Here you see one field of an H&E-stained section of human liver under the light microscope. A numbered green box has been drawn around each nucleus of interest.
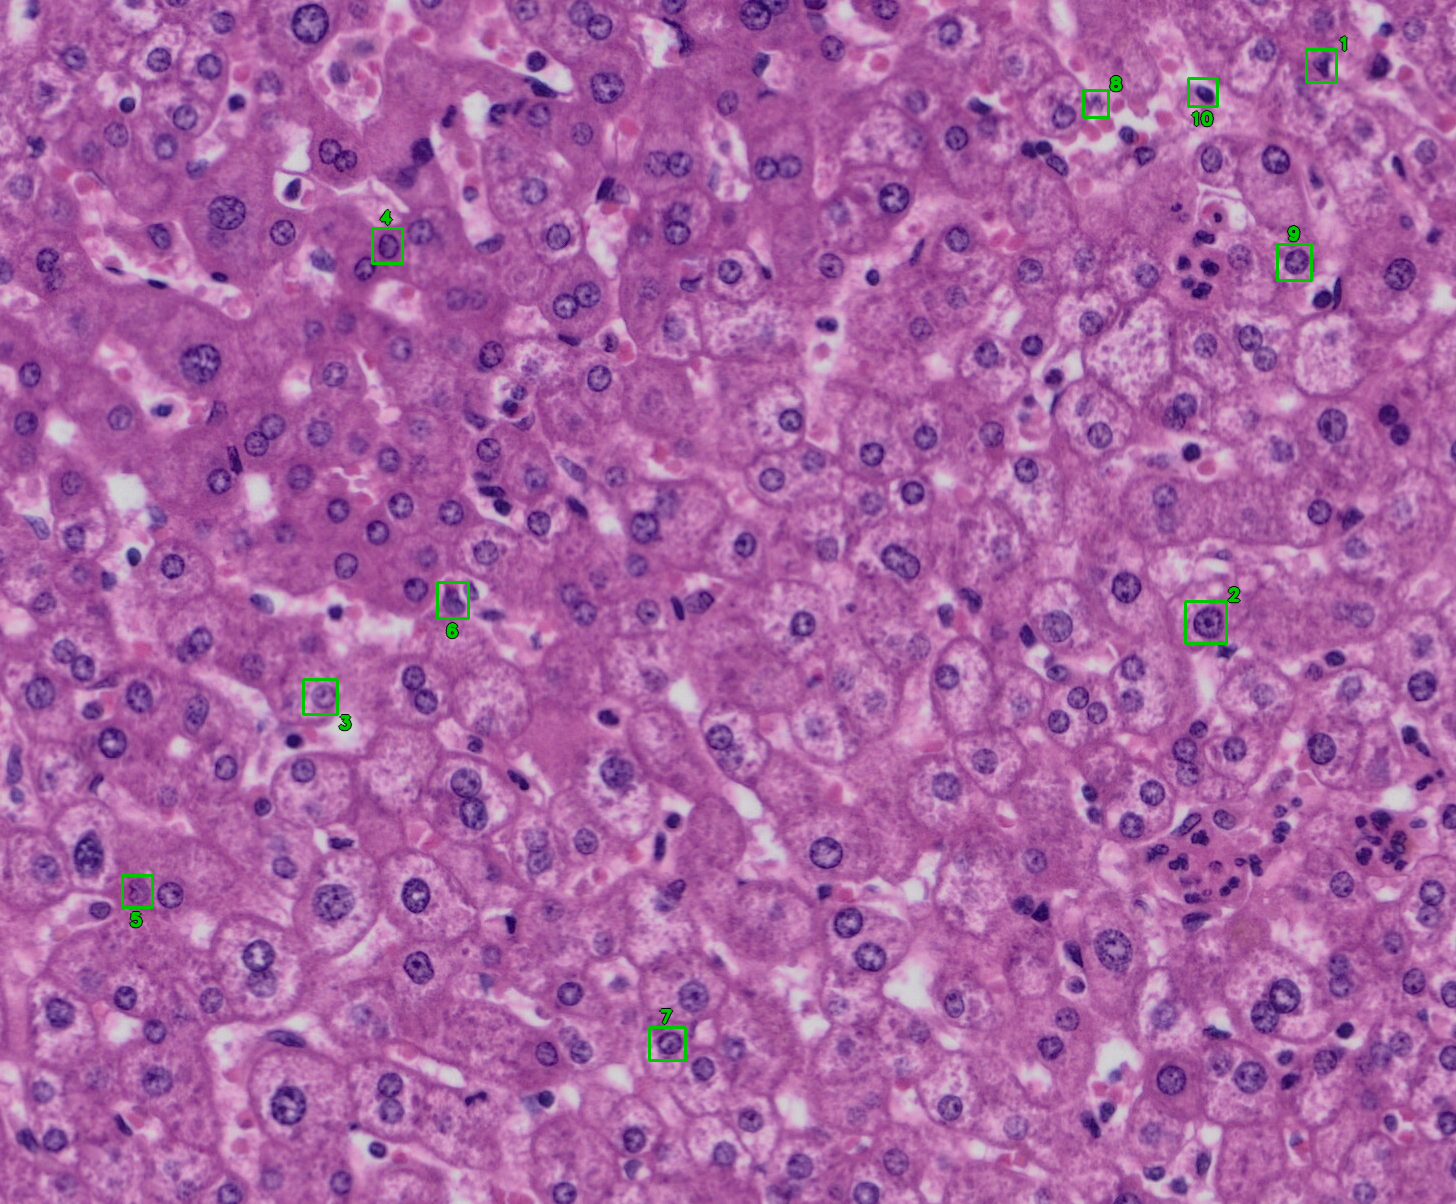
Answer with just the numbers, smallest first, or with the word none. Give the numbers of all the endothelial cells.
1, 8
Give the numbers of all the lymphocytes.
10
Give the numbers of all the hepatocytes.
2, 3, 4, 5, 7, 9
